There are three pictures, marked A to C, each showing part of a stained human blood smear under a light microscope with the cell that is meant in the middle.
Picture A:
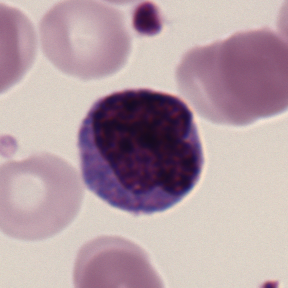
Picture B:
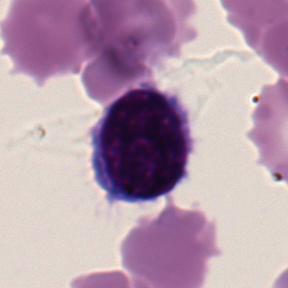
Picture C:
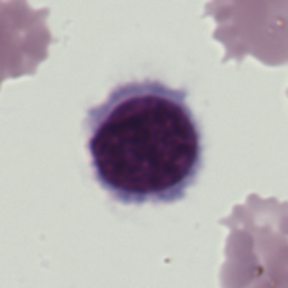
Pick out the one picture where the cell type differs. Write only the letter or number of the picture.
A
